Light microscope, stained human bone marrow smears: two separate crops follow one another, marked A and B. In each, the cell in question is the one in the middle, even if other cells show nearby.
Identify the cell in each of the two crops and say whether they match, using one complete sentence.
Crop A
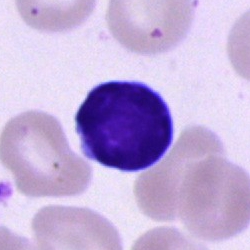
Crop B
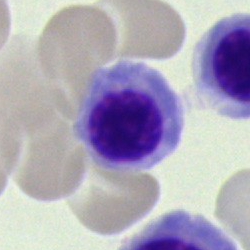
No, on this set crop A shows a lymphocyte and crop B shows an erythroblast.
